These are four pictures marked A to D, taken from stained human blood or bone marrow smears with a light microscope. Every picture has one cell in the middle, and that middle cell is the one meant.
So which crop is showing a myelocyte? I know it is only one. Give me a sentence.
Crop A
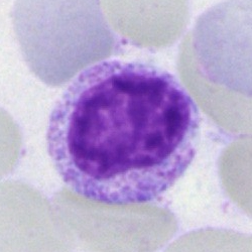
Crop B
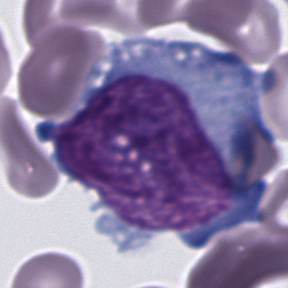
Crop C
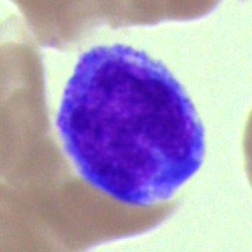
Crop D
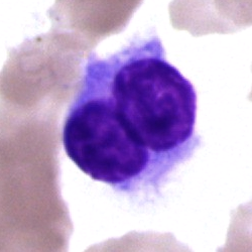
Crop A is the single crop that shows a myelocyte.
